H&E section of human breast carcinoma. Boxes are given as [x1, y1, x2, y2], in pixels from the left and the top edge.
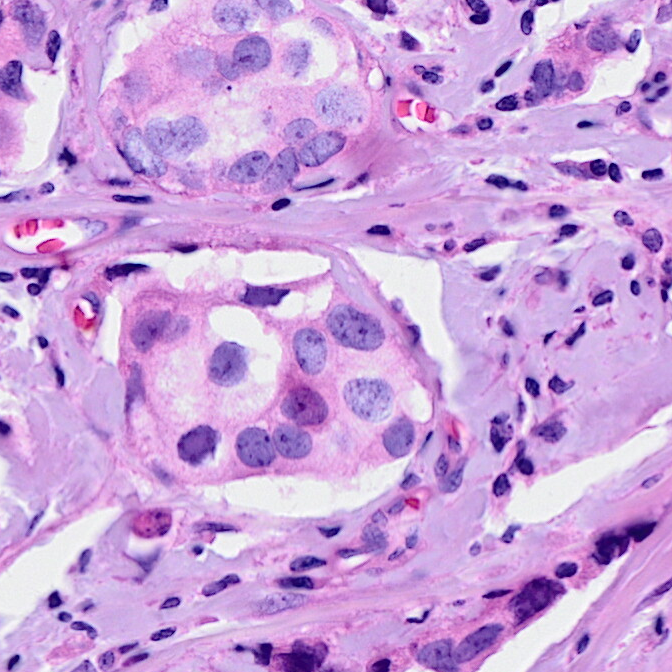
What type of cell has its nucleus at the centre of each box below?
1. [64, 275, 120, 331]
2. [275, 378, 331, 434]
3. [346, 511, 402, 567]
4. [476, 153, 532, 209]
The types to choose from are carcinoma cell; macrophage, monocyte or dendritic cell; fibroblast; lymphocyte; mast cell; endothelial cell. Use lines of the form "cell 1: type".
cell 1: endothelial cell
cell 2: carcinoma cell
cell 3: endothelial cell
cell 4: lymphocyte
